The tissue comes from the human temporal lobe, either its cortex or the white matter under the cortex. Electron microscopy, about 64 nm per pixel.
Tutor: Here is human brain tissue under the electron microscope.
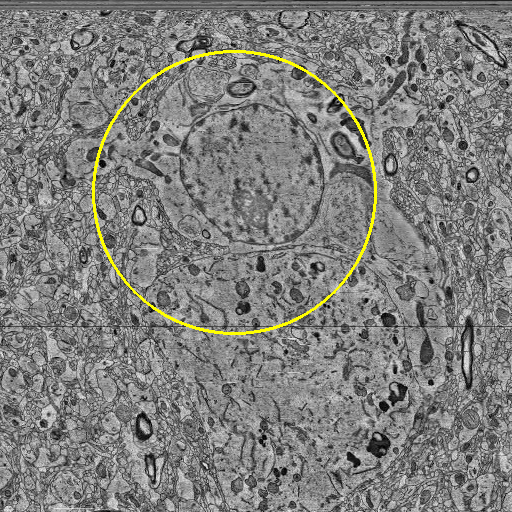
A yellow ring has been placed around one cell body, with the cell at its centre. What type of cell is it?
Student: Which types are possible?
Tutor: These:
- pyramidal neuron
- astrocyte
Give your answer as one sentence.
What the ring picks out here is an astrocyte.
